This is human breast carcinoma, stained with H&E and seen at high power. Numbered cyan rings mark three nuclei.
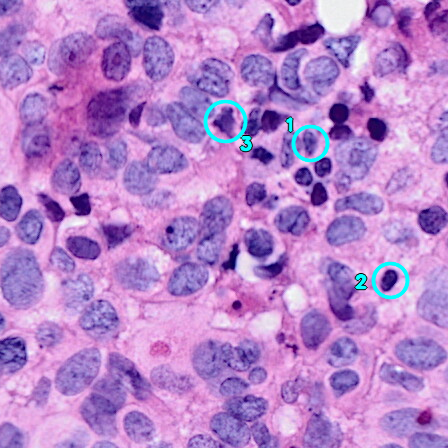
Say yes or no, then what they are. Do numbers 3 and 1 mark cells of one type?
No, cell 3 is a carcinoma cell and cell 1 is a lymphocyte.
